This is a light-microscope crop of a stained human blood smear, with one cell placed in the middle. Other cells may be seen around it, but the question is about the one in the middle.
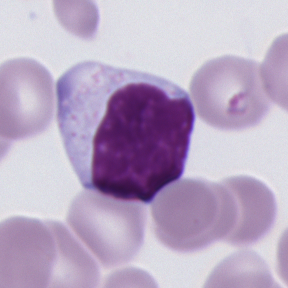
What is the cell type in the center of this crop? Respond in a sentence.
Framed in the middle of the crop is a large granular lymphocyte.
